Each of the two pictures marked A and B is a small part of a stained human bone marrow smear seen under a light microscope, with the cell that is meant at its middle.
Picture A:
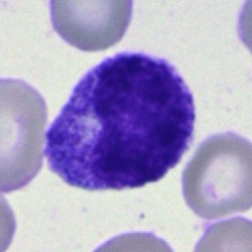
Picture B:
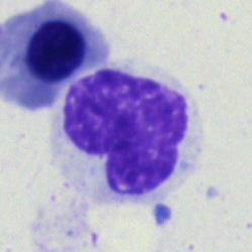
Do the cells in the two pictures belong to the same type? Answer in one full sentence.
Yes, the two pictures both show metamyelocytes.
